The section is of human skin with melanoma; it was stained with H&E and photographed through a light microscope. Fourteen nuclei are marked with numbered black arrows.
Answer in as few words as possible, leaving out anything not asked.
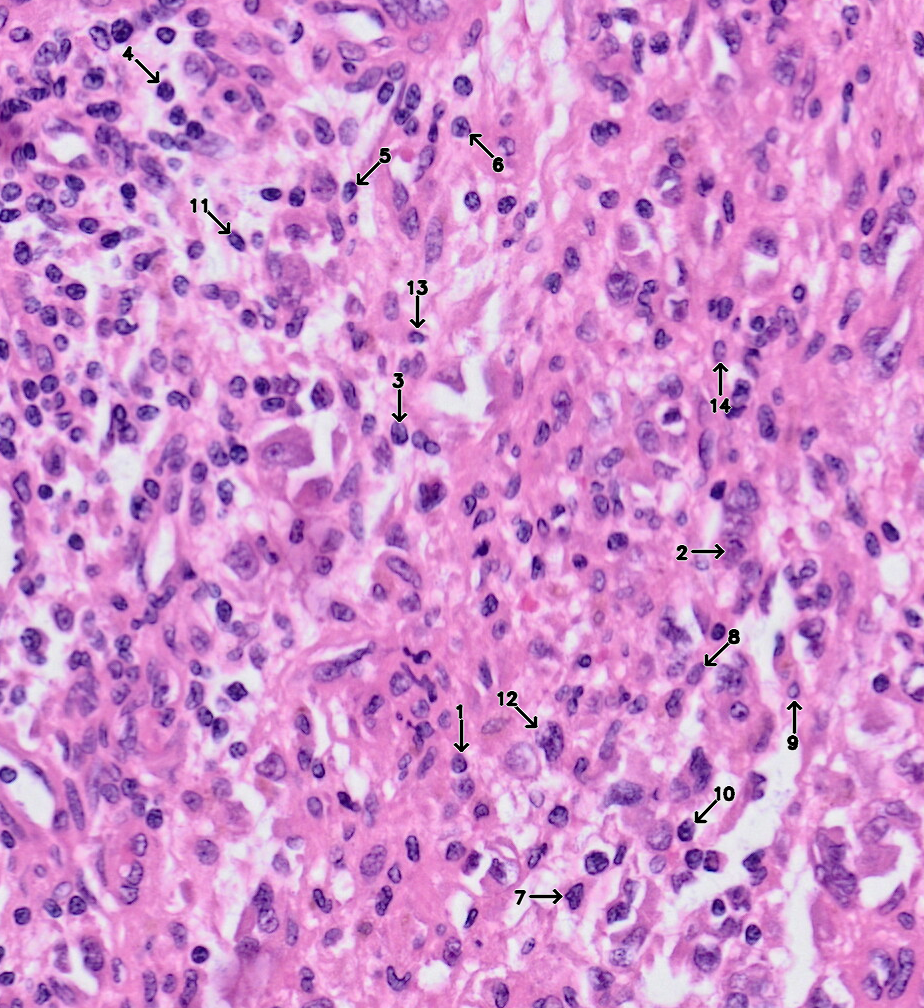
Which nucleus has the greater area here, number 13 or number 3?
3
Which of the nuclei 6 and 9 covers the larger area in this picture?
6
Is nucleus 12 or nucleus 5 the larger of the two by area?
12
